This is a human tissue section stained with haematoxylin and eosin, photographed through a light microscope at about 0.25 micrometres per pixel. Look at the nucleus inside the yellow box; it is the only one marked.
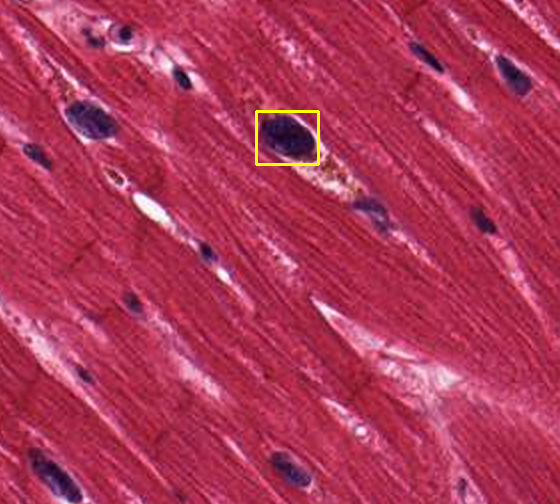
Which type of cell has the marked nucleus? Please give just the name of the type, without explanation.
cardiomyocyte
